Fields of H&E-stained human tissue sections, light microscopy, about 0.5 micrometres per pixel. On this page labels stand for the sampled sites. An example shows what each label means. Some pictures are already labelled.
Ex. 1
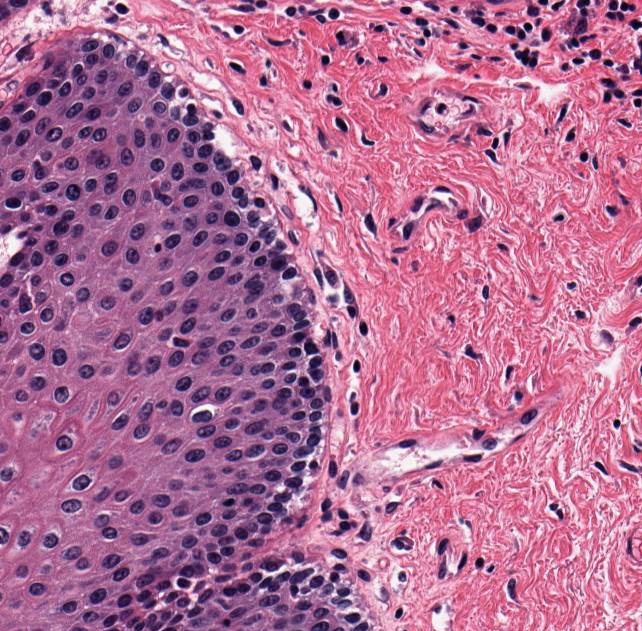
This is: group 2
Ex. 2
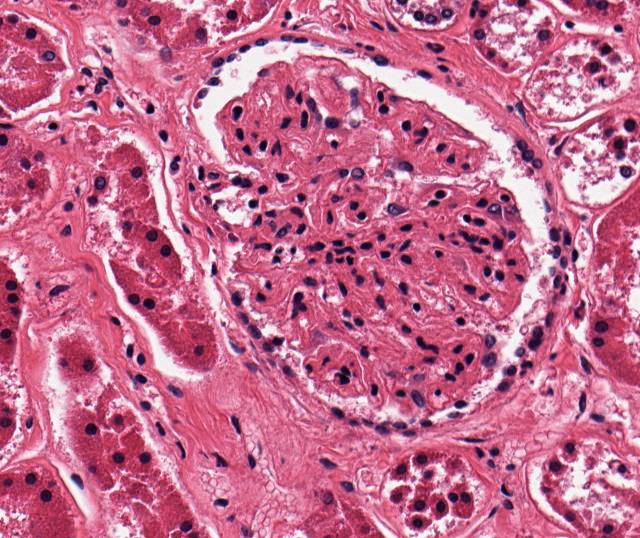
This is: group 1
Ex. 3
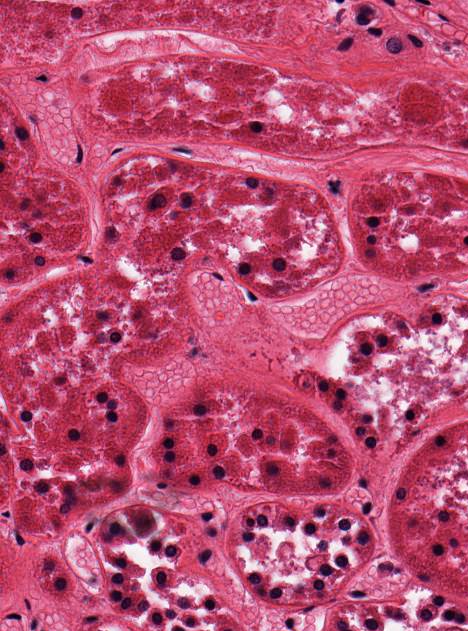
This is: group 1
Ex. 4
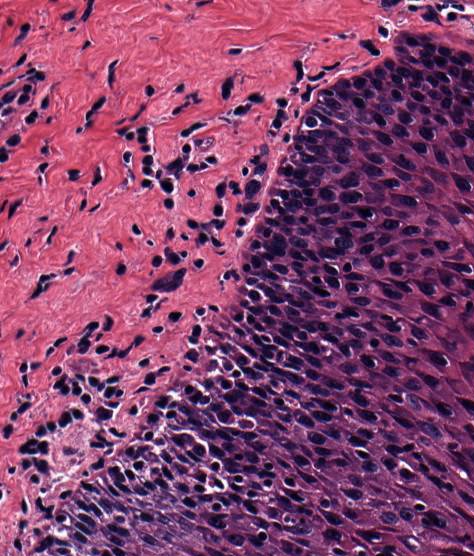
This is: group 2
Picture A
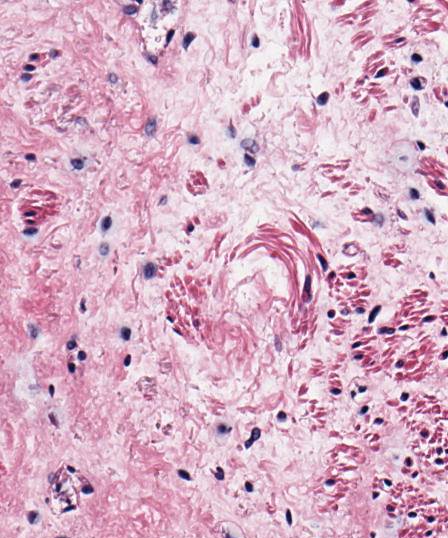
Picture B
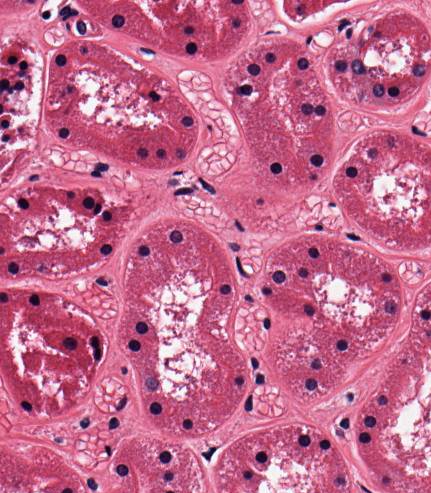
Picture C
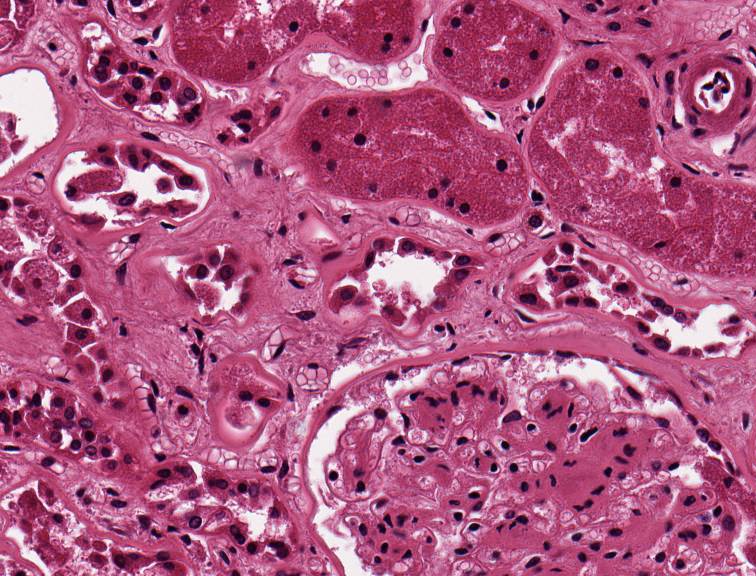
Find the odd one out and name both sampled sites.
A (group 2) is the exception; every other picture is group 1.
